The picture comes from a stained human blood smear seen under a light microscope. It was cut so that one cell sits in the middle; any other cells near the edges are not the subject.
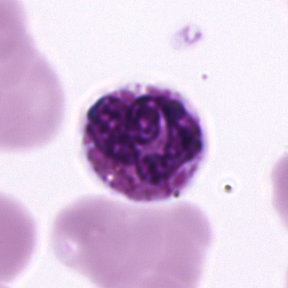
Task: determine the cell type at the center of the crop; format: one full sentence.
The cell positioned in the middle of the field is an eosinophil.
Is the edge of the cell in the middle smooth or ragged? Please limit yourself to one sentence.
Happy to help: the outline is smooth and shows no projections.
